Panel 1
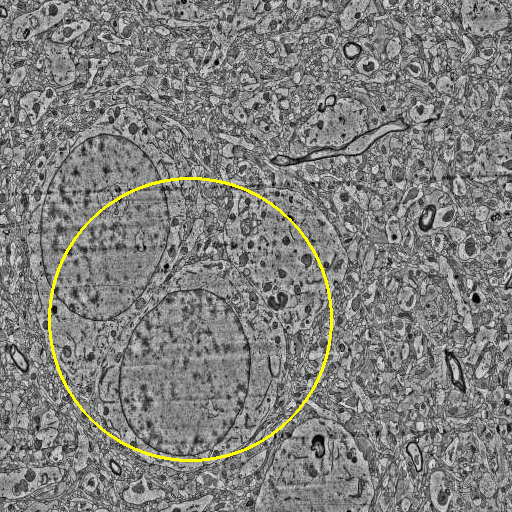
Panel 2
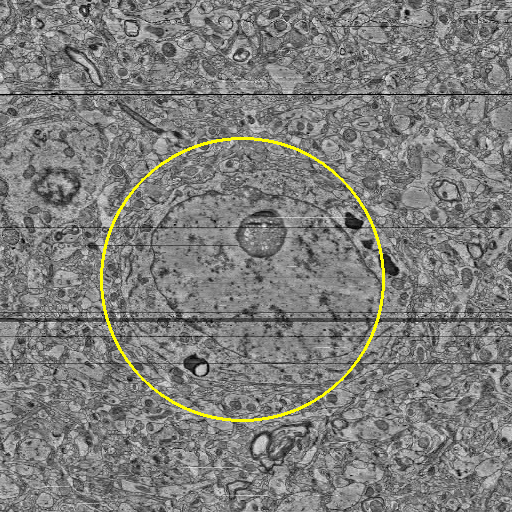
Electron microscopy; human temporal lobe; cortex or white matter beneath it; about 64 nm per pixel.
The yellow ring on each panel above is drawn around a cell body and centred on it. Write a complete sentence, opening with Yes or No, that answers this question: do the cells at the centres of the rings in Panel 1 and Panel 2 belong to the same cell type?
Yes, both cells belong to the same cell type.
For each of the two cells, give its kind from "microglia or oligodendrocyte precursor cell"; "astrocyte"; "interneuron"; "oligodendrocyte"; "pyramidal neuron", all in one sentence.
The ring centre holds a pyramidal neuron in each of the two pictures.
